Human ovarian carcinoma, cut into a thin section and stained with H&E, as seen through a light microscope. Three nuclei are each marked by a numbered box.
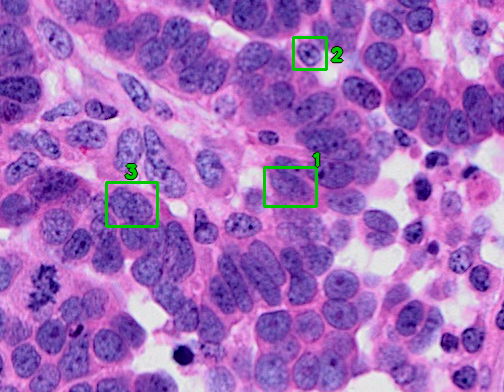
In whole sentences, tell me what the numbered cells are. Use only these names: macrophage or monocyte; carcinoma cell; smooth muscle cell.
Cells 1 and 3 are carcinoma cells. Cell 2 is a macrophage or monocyte.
